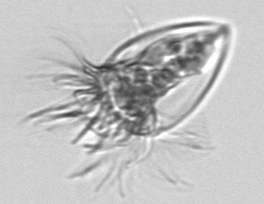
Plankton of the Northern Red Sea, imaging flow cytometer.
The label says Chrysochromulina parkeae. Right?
Wrong: this is a tintinnid.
